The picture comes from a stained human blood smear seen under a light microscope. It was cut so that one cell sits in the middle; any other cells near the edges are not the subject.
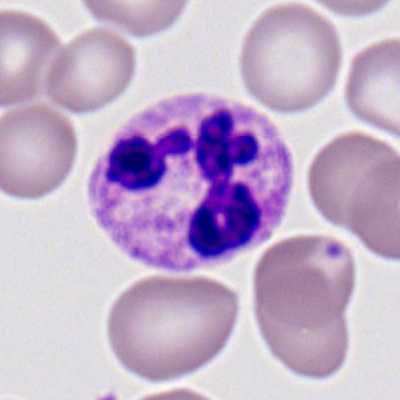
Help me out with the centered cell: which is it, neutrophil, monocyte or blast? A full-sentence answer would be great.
In the middle of this smear crop is a neutrophil.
